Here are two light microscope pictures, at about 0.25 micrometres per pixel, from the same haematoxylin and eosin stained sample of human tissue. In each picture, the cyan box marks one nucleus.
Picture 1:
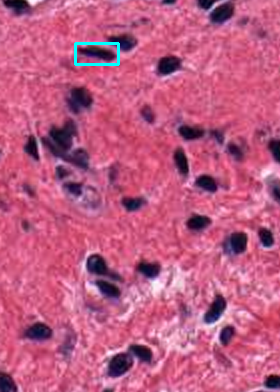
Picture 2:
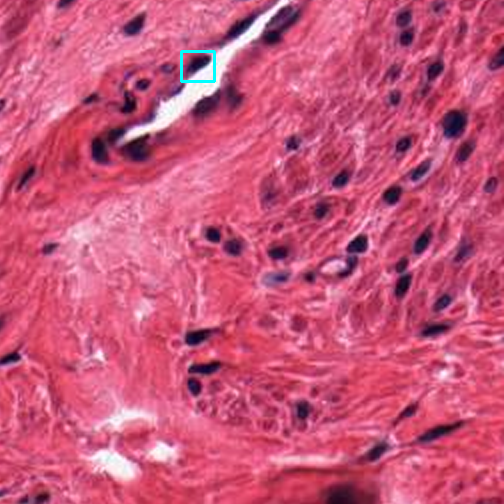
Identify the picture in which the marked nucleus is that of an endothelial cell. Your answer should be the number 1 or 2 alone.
2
